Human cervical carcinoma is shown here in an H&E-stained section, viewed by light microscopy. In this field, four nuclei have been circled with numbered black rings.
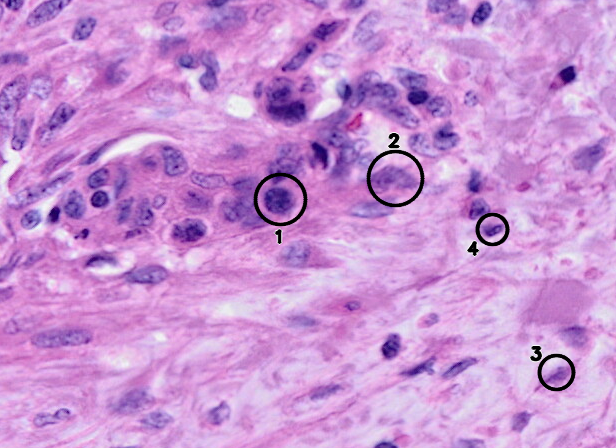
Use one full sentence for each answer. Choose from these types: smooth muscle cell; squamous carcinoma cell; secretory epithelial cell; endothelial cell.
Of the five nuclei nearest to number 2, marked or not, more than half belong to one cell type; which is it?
Around number 2, most of the five nearest nuclei are those of endothelial cells.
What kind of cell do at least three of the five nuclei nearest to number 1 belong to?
Around number 1, most of the five nearest nuclei are those of squamous carcinoma cells.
